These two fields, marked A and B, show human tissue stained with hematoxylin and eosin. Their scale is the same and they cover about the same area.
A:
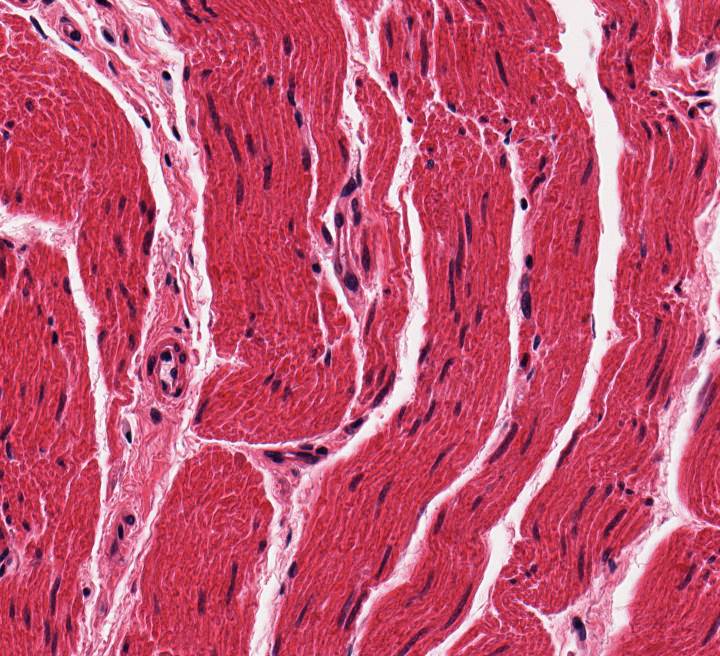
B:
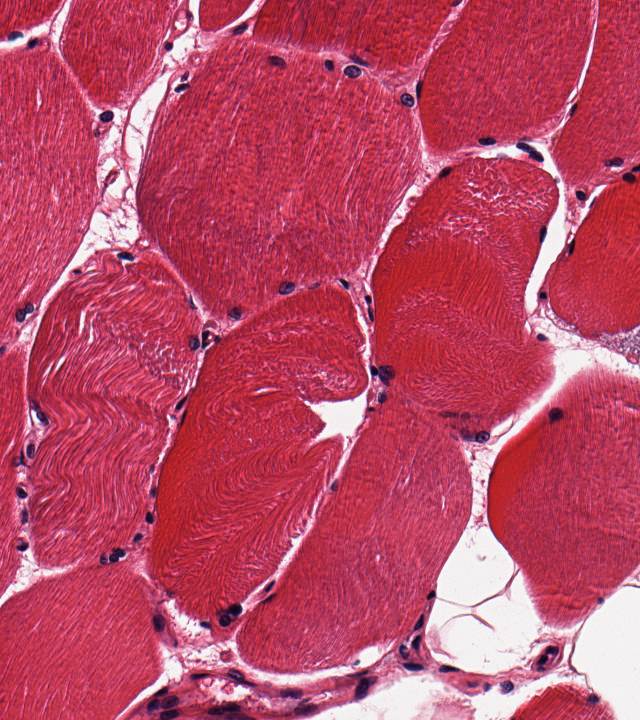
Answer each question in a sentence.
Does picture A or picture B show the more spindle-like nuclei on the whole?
The nuclei are more elongated in picture A.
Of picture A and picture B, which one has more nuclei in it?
It is picture A that has more nuclei in it.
